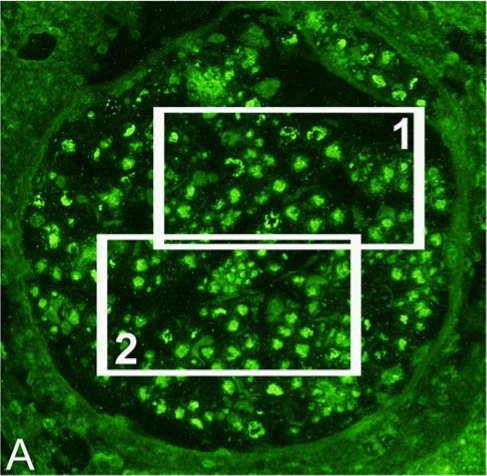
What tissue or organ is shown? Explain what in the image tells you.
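A round bundle bounded by a thin continuous sheath. Many small round profiles packed inside the bundle. The answer: nerve fascicle.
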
